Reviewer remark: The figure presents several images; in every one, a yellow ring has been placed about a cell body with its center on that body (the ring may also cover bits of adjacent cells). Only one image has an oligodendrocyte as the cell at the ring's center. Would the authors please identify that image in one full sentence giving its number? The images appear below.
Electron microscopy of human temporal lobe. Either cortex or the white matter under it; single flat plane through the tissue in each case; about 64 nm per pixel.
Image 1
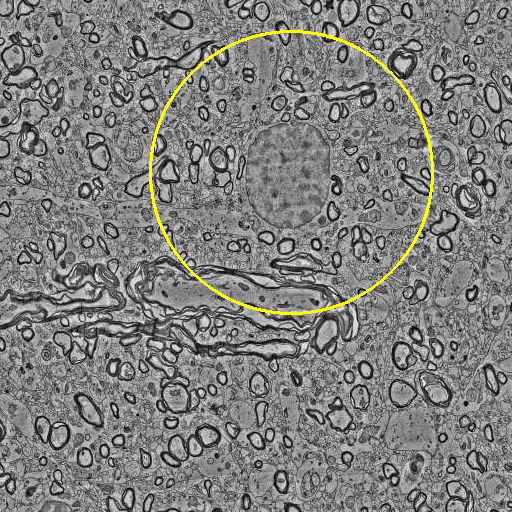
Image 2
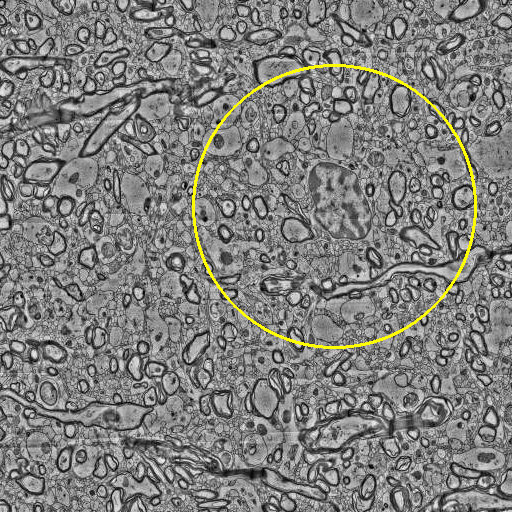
The ring's central cell in image 1 is the one the question describes.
